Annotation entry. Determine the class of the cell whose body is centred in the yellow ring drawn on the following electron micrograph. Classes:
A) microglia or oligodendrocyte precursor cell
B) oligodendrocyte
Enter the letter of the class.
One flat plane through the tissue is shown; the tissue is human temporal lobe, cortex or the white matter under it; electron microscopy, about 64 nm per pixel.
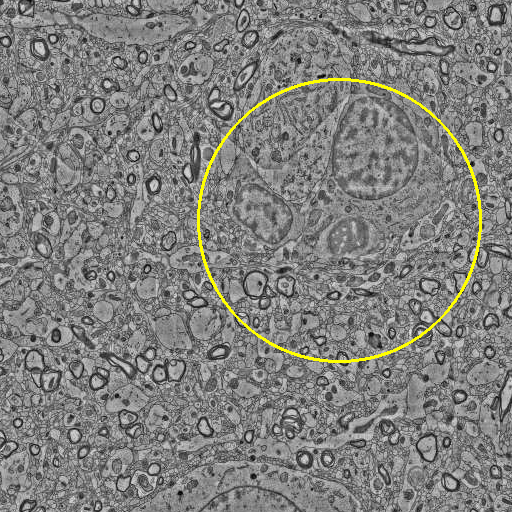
A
